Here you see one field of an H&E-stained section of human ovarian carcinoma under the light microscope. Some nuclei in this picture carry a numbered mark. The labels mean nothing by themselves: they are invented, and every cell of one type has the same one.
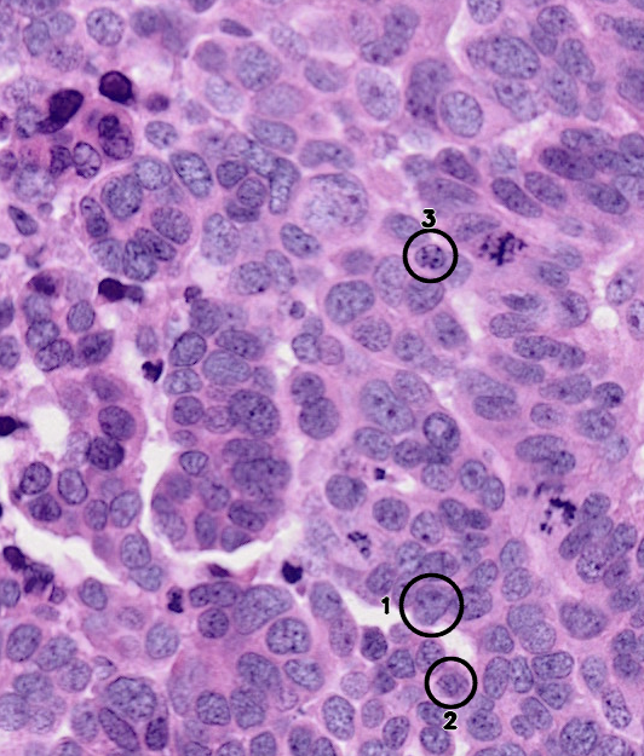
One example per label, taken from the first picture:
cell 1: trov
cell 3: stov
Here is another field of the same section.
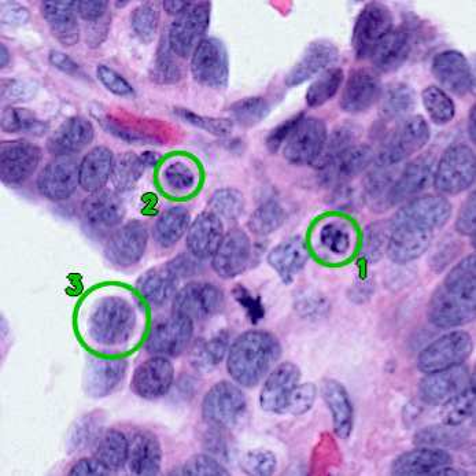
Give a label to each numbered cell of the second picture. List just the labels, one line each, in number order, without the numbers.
stov
stov
trov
